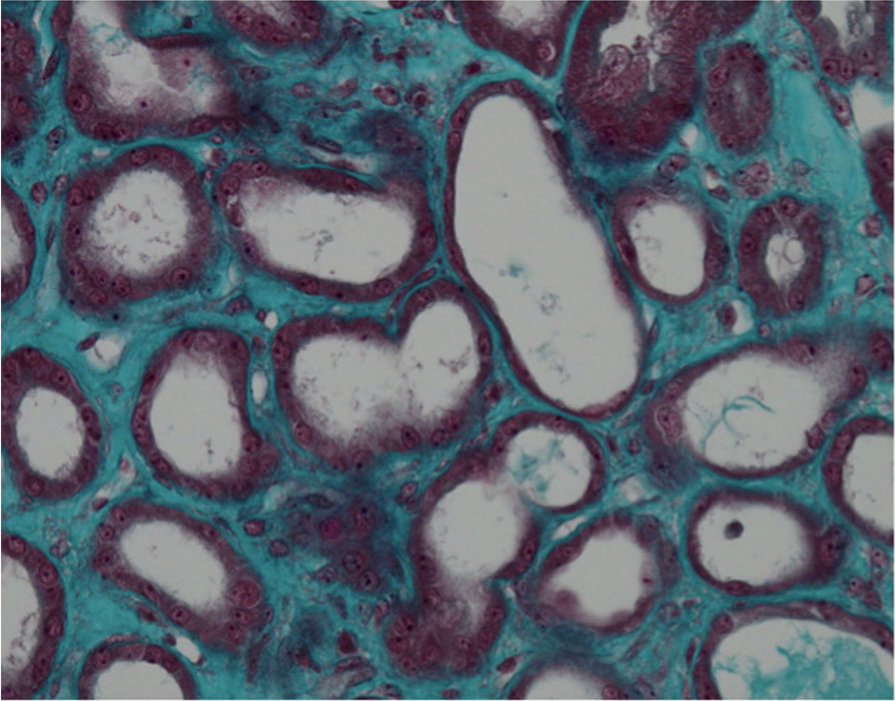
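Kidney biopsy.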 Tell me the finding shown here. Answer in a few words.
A: Acute tubular necrosis.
